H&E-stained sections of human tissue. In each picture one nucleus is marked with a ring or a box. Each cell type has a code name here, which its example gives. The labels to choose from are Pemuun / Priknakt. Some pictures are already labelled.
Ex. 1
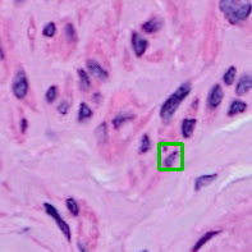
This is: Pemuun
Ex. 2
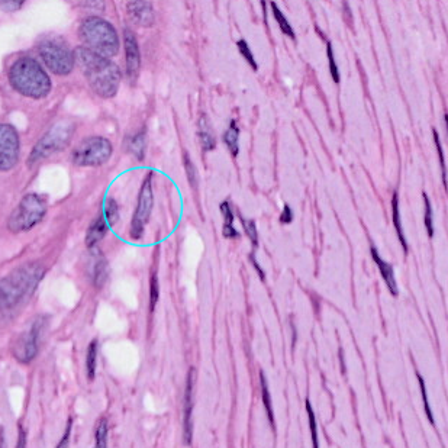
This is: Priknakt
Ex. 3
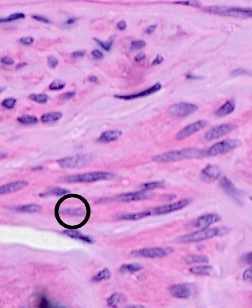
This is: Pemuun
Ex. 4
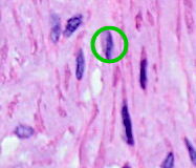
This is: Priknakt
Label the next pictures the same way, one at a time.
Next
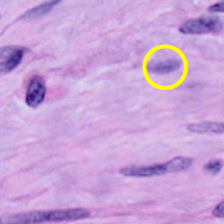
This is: Priknakt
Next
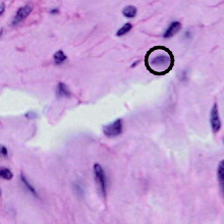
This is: Priknakt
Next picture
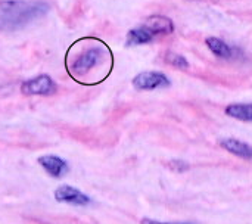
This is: Pemuun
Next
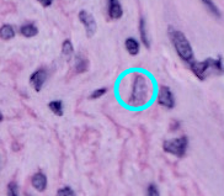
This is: Pemuun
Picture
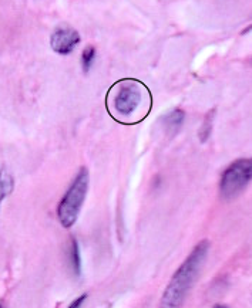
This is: Priknakt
